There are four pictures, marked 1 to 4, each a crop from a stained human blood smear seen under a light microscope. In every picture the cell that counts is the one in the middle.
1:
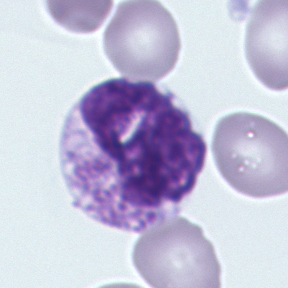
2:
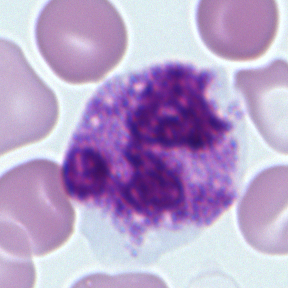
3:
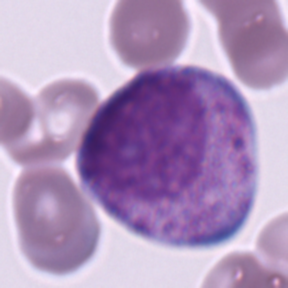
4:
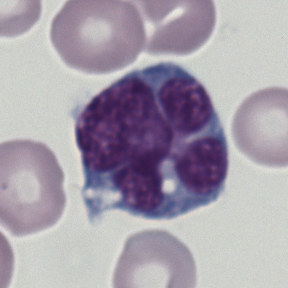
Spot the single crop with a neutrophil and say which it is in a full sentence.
The one that shows a neutrophil is crop 2.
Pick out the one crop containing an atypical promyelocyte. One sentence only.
In this series, an atypical promyelocyte is shown by crop 3.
